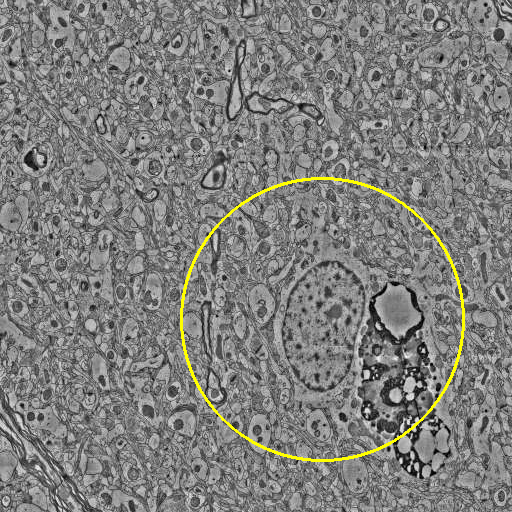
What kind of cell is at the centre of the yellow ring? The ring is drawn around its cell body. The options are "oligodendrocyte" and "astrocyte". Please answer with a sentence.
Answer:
The yellow ring marks the cell body of an astrocyte.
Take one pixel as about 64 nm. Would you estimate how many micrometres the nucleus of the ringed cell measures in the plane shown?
About 8 by 5 micrometers in this plane, so the nucleus is clearly longer than it is wide.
